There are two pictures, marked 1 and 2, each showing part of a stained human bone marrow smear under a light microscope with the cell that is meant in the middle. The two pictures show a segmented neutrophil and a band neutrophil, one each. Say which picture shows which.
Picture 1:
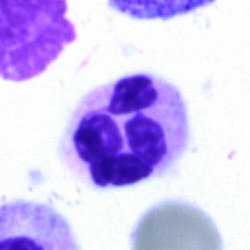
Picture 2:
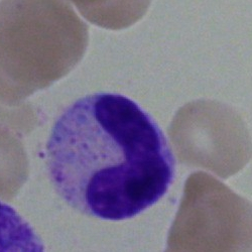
1: segmented neutrophil
2: band neutrophil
